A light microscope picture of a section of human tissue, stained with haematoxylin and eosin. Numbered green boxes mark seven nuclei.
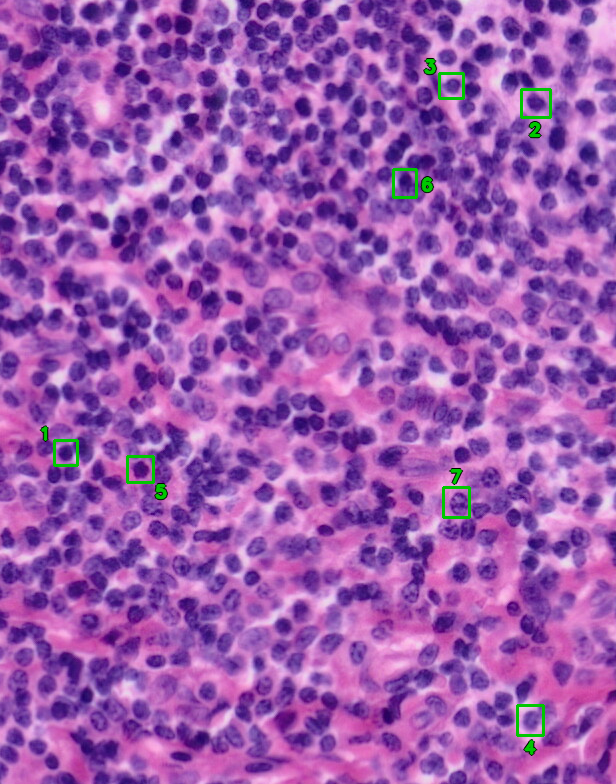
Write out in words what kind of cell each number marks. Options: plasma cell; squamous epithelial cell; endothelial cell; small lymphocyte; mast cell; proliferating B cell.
Cells 1, 3, 5 and 6 are small lymphocytes. Cell 2 is a proliferating B cell. Cell 4 is a mast cell. Cell 7 is a plasma cell.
